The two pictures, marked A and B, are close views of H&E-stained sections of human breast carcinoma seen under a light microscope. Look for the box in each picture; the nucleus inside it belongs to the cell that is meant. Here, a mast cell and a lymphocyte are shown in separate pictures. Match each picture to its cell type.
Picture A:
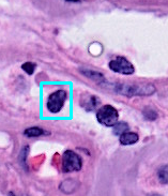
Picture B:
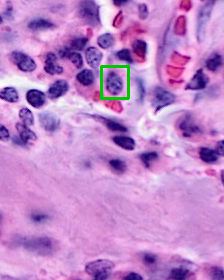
A: lymphocyte
B: mast cell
